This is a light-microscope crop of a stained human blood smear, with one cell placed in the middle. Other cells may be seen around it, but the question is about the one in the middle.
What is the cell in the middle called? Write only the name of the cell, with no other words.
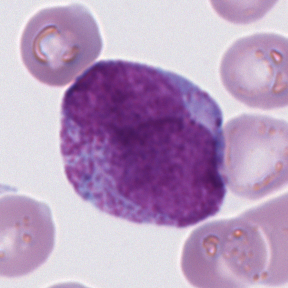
promyelocyte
